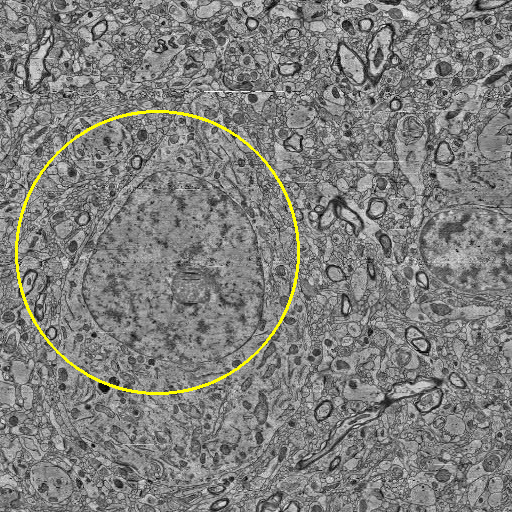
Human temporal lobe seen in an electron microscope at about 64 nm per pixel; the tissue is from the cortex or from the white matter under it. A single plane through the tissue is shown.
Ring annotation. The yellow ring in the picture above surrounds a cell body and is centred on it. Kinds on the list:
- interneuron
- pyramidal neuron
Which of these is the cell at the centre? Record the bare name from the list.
interneuron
